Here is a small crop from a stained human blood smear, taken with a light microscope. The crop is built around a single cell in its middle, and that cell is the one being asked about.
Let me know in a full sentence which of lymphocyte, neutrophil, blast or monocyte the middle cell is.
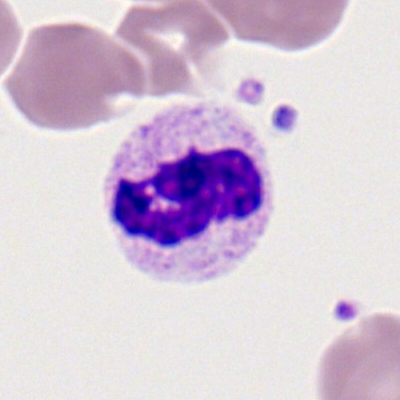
The cell of interest, located centrally, is a neutrophil.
